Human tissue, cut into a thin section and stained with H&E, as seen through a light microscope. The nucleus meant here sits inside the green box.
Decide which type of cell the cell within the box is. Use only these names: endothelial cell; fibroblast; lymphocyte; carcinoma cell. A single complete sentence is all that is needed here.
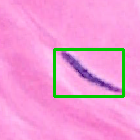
For the purposes of cell typing, the cell within the box is categorized as a fibroblast.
